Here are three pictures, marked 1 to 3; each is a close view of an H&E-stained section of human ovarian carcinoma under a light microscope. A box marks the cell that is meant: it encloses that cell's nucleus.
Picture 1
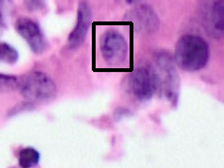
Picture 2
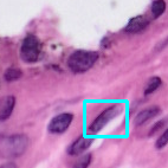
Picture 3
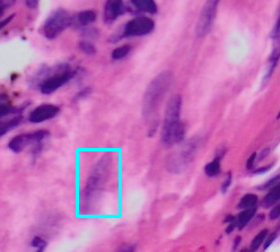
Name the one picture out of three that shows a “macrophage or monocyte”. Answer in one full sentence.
The “macrophage or monocyte” is the one in picture 1.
